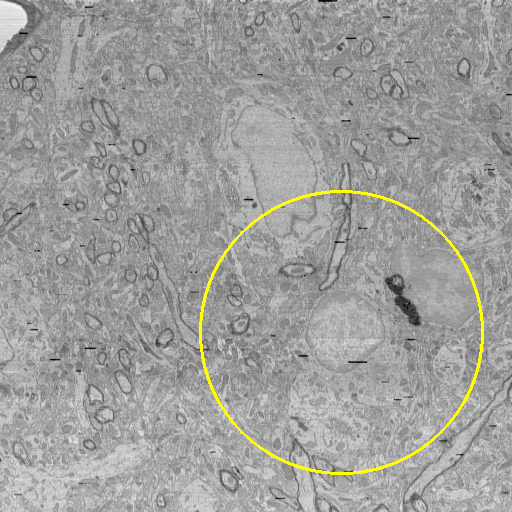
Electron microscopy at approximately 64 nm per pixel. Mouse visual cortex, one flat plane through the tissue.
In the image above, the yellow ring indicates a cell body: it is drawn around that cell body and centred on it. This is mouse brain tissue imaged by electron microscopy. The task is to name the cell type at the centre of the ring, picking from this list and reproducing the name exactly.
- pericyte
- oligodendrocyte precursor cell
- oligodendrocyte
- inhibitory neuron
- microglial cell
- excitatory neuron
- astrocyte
oligodendrocyte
